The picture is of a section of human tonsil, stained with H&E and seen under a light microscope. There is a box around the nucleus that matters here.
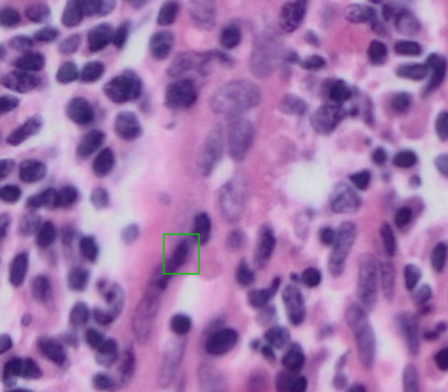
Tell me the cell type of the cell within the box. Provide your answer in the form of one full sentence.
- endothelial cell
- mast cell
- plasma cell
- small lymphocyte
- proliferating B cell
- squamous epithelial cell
The correct response here is that the cell within the box is an endothelial cell.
